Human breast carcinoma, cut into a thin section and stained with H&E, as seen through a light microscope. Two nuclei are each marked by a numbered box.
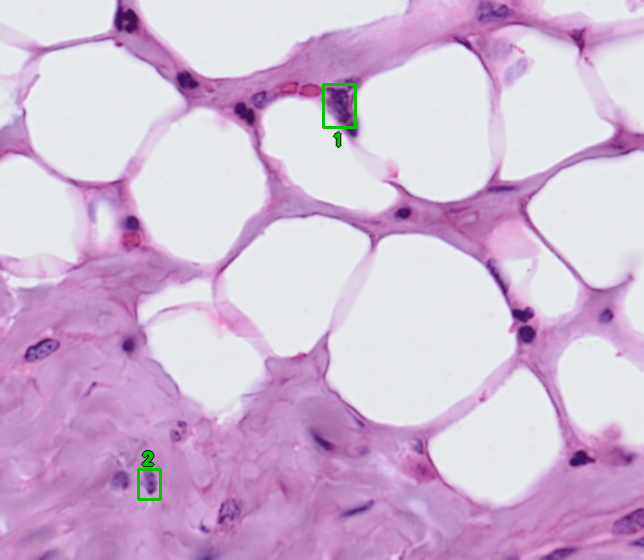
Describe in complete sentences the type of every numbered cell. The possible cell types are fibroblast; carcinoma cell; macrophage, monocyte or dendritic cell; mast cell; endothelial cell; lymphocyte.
Cell 1 is an endothelial cell. Cell 2 is a fibroblast.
